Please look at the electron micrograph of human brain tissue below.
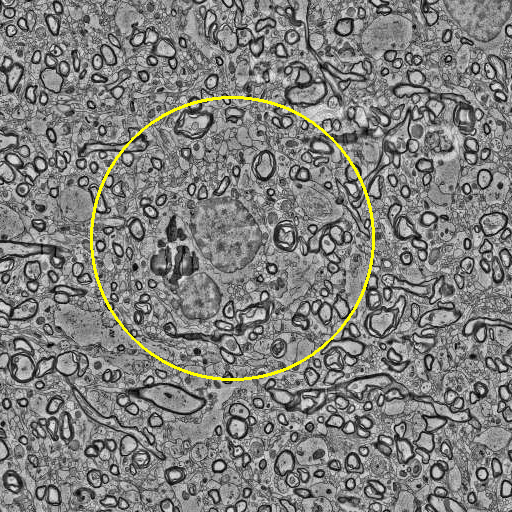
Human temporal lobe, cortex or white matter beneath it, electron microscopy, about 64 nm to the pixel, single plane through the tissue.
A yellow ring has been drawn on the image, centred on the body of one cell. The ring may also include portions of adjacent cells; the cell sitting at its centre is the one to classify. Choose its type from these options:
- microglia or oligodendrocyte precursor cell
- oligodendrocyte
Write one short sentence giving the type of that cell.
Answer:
The cell in the middle of the ring is an oligodendrocyte.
